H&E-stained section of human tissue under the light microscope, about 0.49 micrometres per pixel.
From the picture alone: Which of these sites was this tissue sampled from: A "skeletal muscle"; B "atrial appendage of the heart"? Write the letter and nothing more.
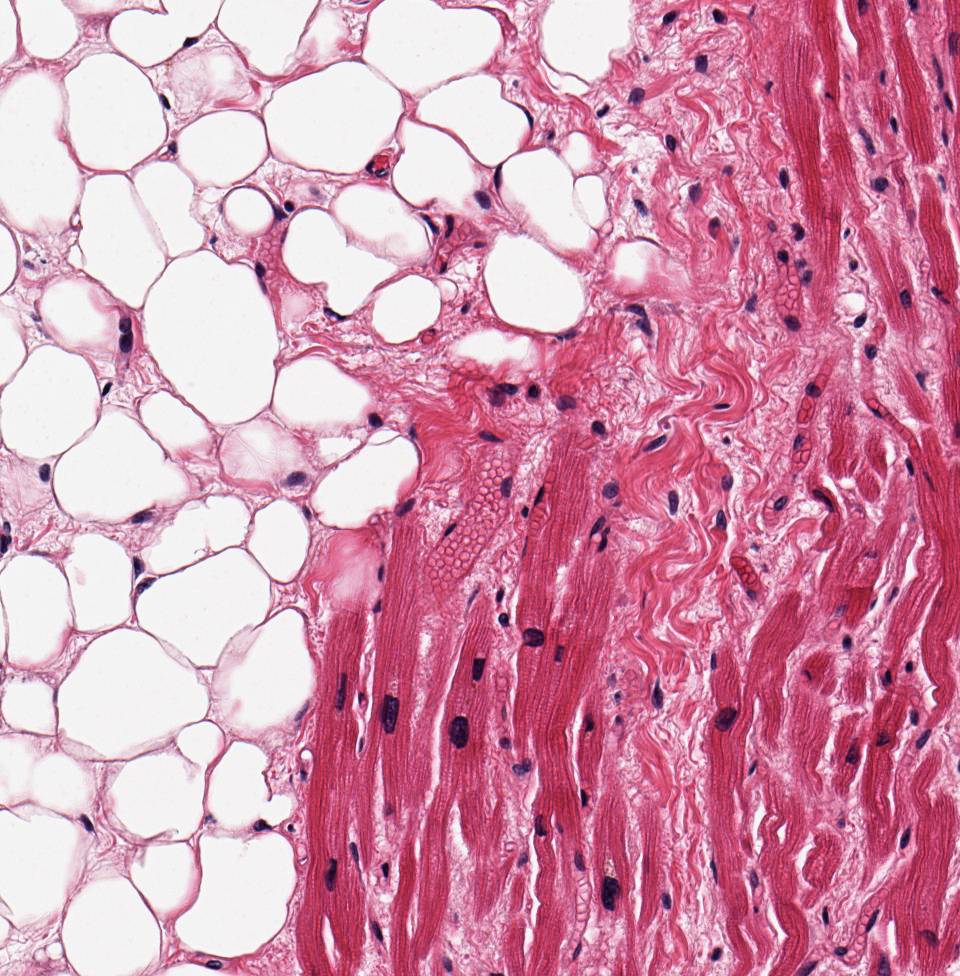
B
